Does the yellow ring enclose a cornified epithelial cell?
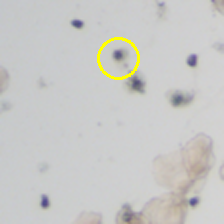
No. The ring encloses a leukocyte.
